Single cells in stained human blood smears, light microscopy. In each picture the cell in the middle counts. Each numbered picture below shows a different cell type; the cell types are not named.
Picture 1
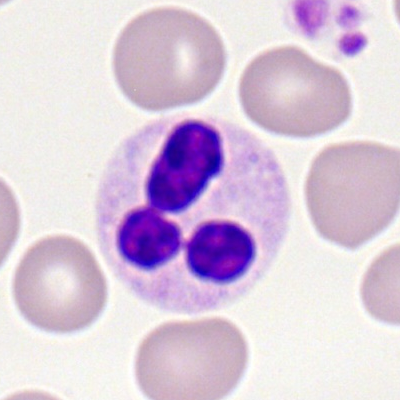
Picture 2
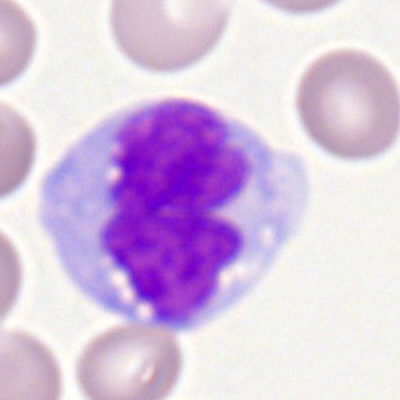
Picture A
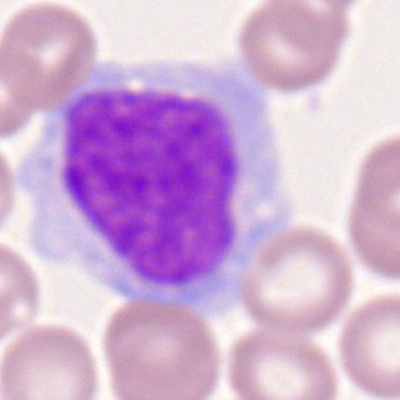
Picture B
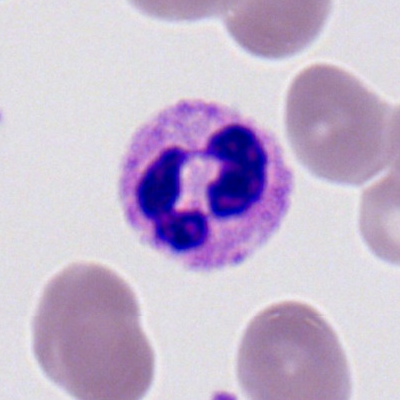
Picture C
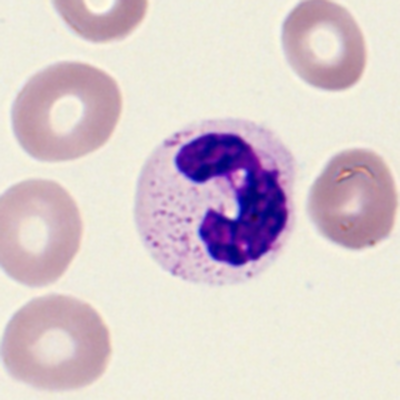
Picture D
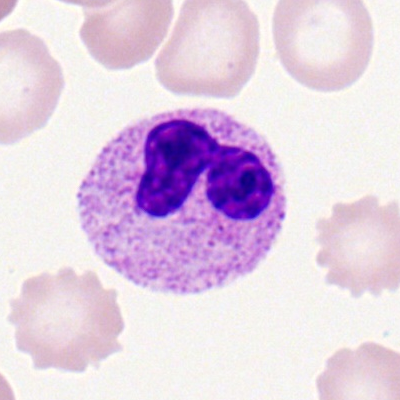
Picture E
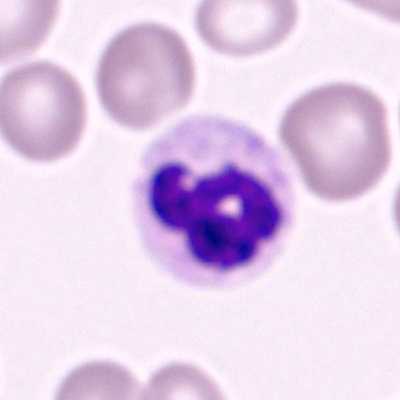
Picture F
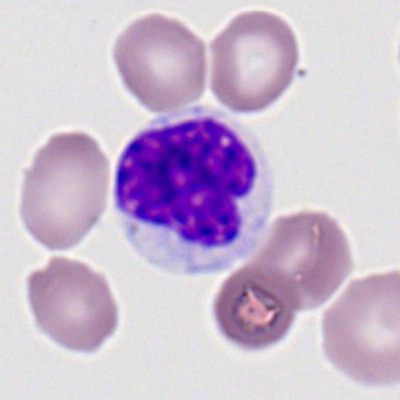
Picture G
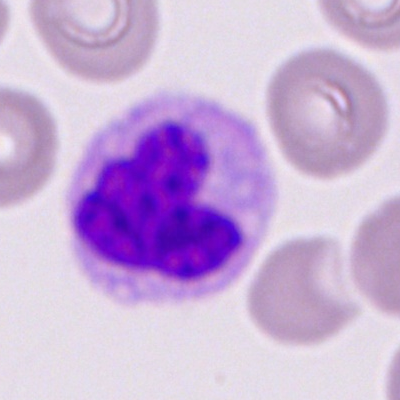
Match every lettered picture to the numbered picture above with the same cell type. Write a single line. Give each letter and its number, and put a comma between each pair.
A 2, B 1, C 1, D 1, E 1, F 1, G 2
